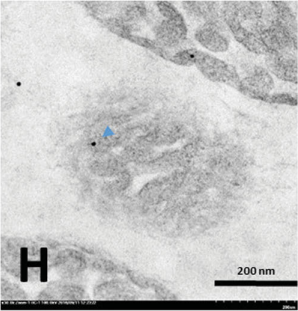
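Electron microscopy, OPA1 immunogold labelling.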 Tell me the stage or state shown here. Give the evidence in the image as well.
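A faint pale profile with an indistinct boundary. The answer: ghost.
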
